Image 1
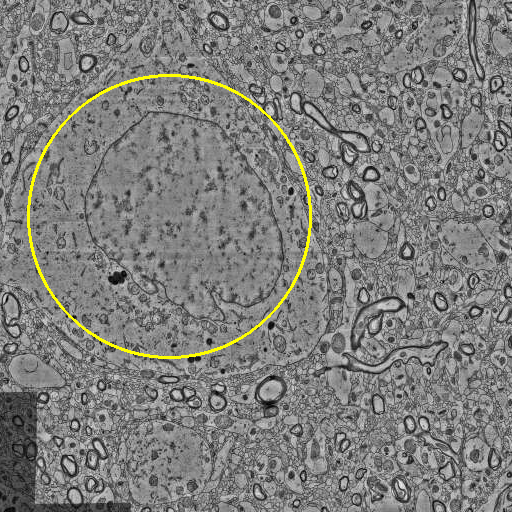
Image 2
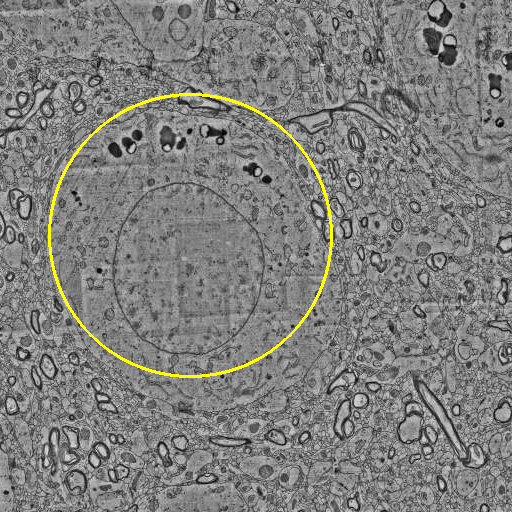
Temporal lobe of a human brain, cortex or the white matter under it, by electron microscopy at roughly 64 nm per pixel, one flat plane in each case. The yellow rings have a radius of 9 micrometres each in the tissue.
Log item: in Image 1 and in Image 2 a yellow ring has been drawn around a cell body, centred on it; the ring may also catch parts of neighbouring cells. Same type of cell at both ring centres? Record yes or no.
yes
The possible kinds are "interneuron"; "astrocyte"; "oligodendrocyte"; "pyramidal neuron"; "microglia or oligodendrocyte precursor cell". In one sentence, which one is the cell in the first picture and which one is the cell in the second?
Each cell, in the first picture and the second, is a pyramidal neuron.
